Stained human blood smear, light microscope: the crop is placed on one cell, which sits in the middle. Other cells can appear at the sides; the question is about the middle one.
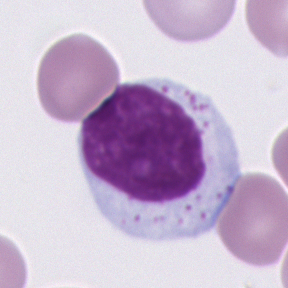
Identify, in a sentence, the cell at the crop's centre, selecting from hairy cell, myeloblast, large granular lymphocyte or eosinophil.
The cell in the exact centre of the crop is a large granular lymphocyte.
